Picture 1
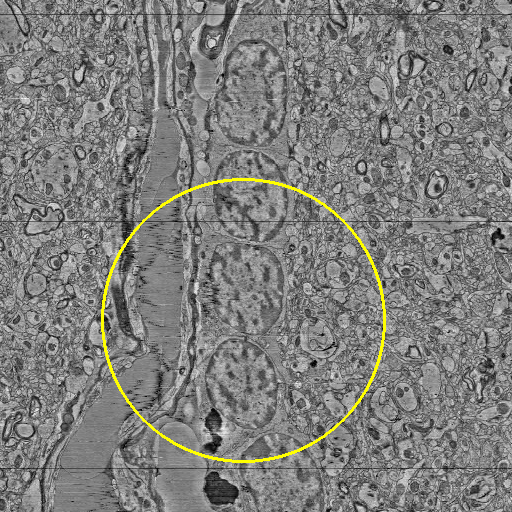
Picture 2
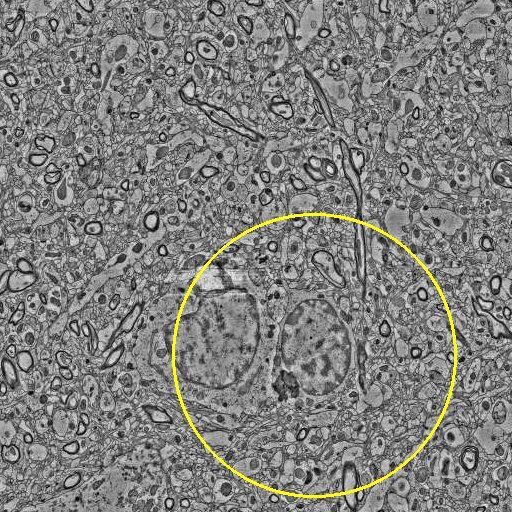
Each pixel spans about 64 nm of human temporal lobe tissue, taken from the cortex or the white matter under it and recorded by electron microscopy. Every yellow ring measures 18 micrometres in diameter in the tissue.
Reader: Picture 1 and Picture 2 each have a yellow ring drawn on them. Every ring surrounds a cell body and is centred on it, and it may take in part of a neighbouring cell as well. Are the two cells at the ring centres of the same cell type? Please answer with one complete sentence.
Yes, both cells are of the same cell type.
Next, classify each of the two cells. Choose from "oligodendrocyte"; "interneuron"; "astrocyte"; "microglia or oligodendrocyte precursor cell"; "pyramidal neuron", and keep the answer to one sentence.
Both pictures show an oligodendrocyte at the centre of the ring.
